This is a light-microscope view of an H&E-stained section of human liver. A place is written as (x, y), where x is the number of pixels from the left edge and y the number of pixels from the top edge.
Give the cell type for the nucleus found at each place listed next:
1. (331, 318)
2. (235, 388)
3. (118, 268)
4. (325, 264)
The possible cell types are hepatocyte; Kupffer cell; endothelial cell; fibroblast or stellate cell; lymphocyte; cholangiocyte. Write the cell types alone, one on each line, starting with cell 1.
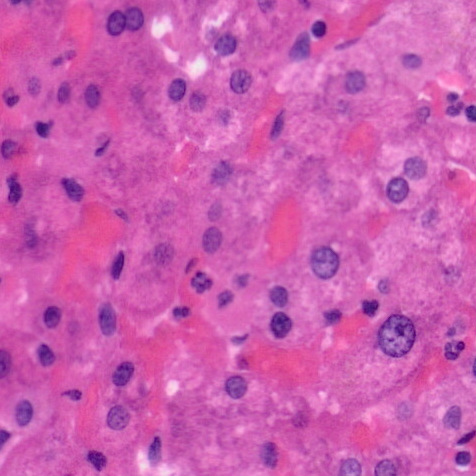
fibroblast or stellate cell
hepatocyte
fibroblast or stellate cell
hepatocyte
